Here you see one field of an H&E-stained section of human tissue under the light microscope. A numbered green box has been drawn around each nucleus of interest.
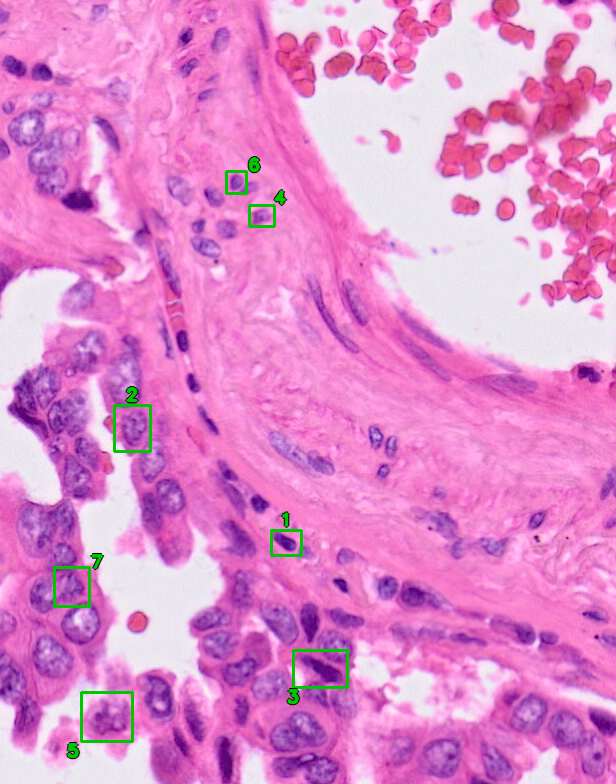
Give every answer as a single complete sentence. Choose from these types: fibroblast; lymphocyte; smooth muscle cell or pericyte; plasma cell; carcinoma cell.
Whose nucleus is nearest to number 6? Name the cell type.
Closest to number 6 lies the nucleus of a smooth muscle cell or pericyte.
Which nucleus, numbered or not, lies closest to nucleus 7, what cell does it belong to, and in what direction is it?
The closest nucleus belongs to a carcinoma cell and sits to the left of nucleus 7.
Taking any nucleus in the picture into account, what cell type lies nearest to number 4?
Number 4 lies closest to the nucleus of a smooth muscle cell or pericyte.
